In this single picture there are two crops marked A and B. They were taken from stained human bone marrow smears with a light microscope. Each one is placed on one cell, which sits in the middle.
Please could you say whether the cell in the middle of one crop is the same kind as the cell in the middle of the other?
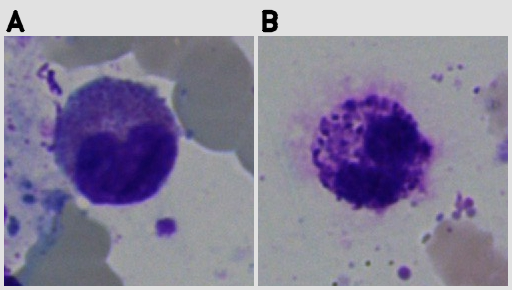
no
